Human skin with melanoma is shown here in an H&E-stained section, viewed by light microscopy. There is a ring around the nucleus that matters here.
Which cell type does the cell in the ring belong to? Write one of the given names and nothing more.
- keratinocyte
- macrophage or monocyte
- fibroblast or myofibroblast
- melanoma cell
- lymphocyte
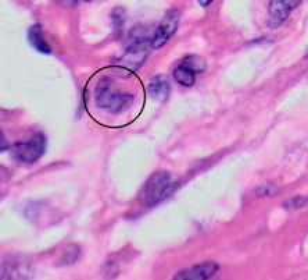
macrophage or monocyte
